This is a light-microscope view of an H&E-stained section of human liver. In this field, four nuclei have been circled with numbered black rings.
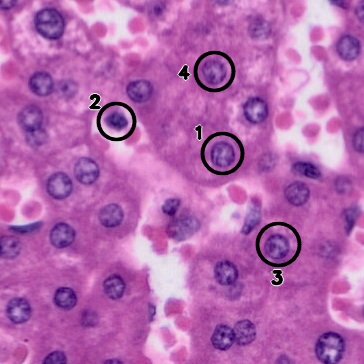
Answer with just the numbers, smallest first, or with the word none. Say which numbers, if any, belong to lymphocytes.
2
